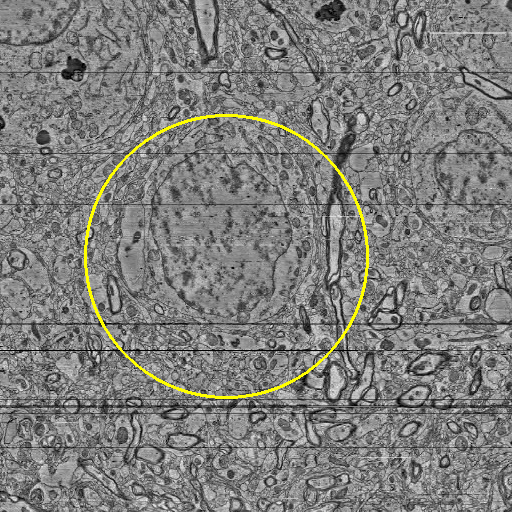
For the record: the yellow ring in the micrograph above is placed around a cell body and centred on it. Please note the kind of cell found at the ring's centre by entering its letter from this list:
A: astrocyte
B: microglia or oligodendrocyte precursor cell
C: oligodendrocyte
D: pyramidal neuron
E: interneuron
D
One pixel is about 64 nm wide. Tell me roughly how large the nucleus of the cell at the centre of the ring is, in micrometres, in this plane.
The nucleus appears roughly 11 by 9 micrometres in this plane.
